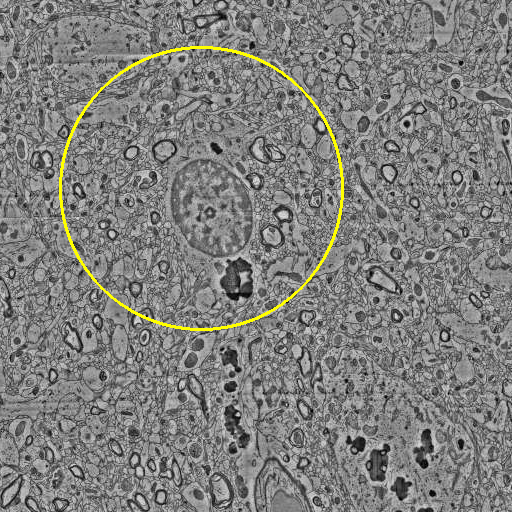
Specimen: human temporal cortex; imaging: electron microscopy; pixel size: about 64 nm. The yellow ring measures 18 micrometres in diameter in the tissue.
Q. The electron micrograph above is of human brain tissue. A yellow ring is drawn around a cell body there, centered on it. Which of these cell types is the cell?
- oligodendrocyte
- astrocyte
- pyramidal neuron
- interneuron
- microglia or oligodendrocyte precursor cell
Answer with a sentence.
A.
The cell under the ring's center is an oligodendrocyte.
